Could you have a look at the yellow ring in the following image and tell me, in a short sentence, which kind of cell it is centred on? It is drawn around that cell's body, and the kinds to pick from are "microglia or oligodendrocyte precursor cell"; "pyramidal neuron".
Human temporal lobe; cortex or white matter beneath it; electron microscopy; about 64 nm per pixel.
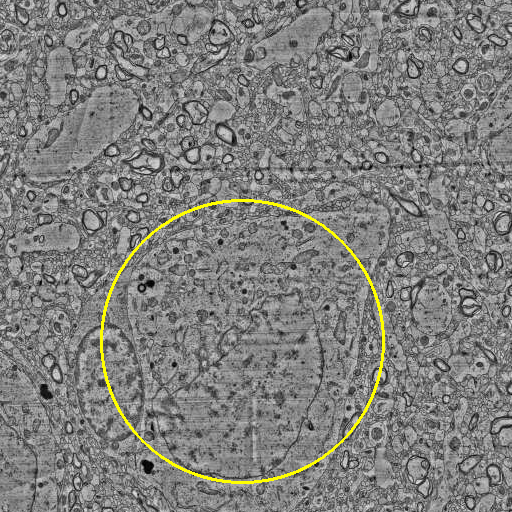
The ring is centred on the body of a pyramidal neuron.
